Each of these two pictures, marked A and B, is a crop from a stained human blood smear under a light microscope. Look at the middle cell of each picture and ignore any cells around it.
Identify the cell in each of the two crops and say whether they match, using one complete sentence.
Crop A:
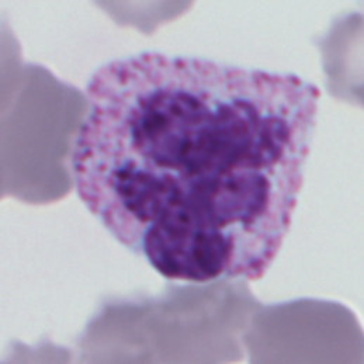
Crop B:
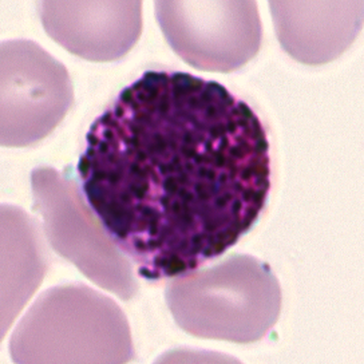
Yes, both crops show basophils in the centre of the field.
